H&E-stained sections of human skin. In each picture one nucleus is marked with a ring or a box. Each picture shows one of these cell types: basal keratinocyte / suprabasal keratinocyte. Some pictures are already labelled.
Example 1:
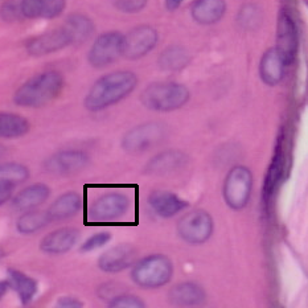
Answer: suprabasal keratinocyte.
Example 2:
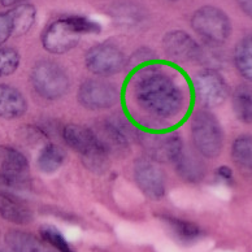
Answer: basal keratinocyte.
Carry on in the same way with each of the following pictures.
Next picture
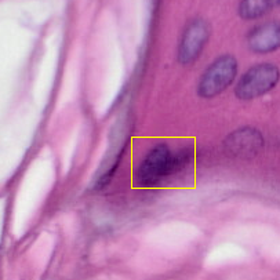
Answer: suprabasal keratinocyte.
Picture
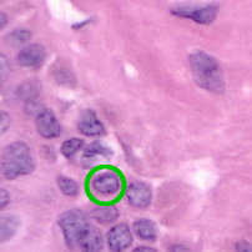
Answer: basal keratinocyte.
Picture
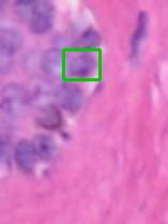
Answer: basal keratinocyte.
